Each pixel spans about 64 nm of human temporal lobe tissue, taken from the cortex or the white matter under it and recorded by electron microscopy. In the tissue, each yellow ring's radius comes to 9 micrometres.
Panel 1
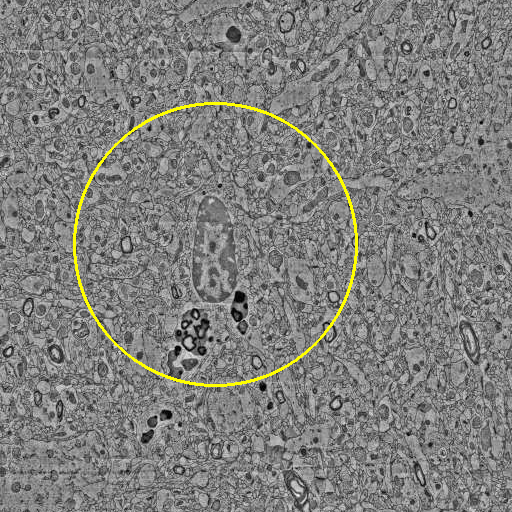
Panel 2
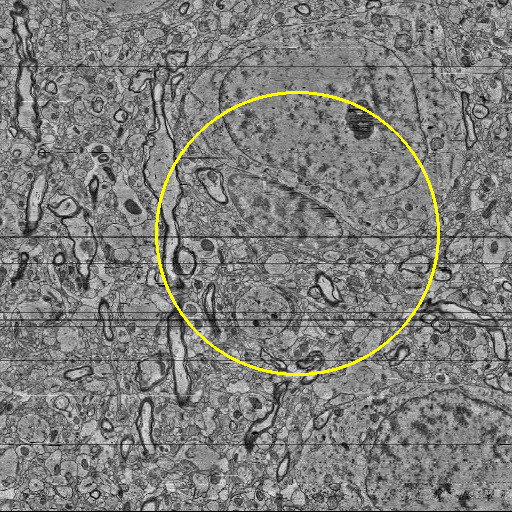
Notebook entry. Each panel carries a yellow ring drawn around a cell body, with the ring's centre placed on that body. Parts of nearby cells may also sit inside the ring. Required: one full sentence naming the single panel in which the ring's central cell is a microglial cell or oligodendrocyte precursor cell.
Panel 1 is the single one with the sought cell at its ring's centre.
